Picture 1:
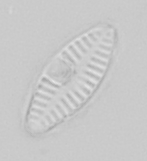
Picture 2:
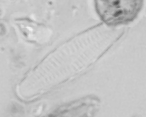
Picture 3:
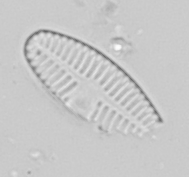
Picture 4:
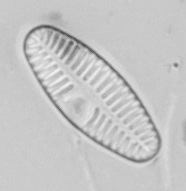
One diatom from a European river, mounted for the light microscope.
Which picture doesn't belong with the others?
Picture 2.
